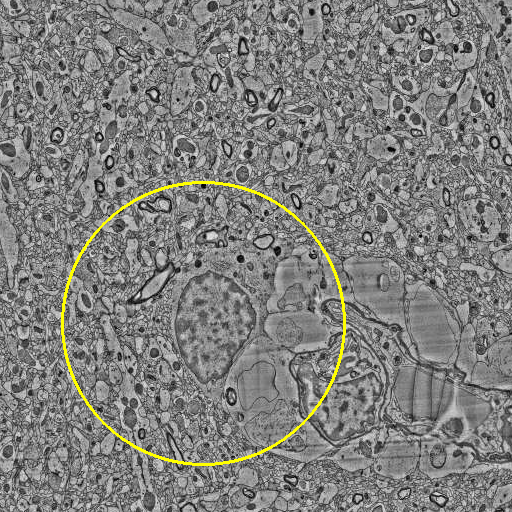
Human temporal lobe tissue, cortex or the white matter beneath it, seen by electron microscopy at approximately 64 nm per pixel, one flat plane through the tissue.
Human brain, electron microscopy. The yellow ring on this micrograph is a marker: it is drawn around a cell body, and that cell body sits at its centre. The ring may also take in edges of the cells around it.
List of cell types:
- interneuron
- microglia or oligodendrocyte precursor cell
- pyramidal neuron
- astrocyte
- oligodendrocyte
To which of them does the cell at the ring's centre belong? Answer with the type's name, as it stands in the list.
oligodendrocyte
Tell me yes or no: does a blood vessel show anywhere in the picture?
Yes, one appears.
